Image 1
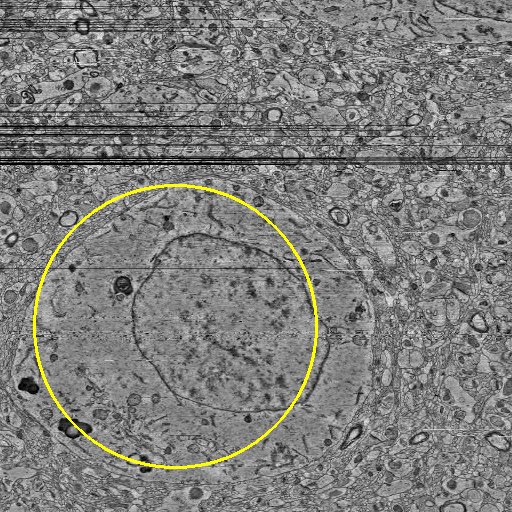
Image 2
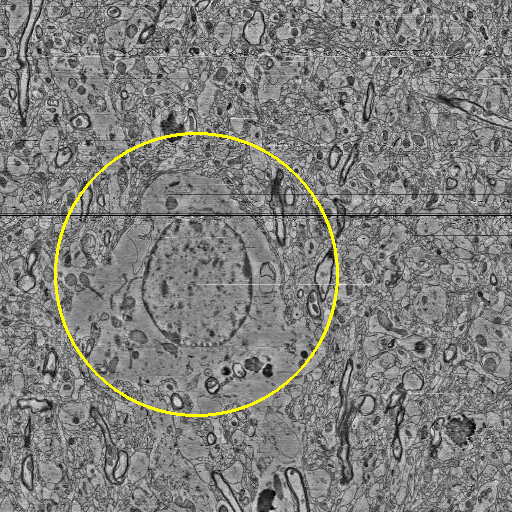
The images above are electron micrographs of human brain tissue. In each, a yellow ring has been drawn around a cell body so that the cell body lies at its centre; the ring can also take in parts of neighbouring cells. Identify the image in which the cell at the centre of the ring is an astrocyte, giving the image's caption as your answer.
Image 2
